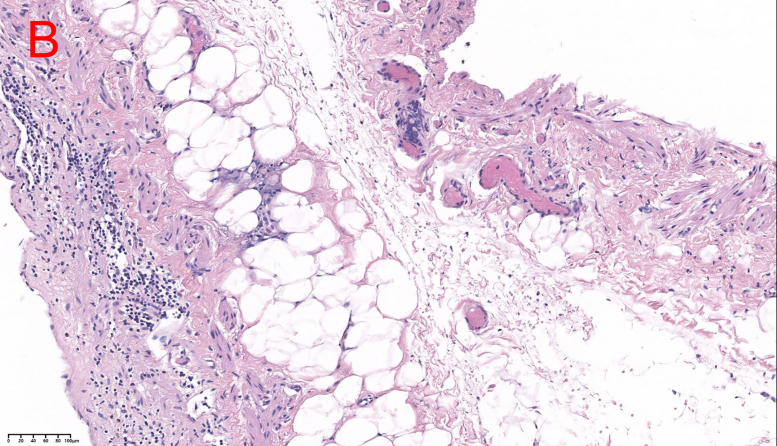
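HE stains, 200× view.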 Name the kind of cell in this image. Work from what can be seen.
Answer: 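Lymphoid cell aggregations. A cluster of small, round, dark-blue nuclei lies along the left edge. Further small clusters of dark round nuclei sit near the top center. The cells have scant cytoplasm.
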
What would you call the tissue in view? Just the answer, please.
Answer: Fibroconnective tissue.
